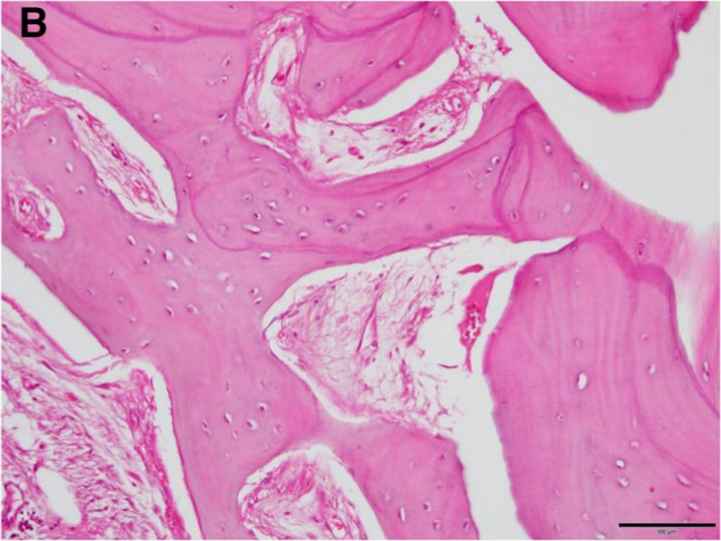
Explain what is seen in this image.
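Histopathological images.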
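This is bone, with trabeculae of bright pink matrix holding osteocytes in their lacunae. Fine lamellar lines and cement lines run through the matrix. The spaces between the trabeculae contain loose, pale fibrous tissue with small vessels and a few scattered cells.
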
